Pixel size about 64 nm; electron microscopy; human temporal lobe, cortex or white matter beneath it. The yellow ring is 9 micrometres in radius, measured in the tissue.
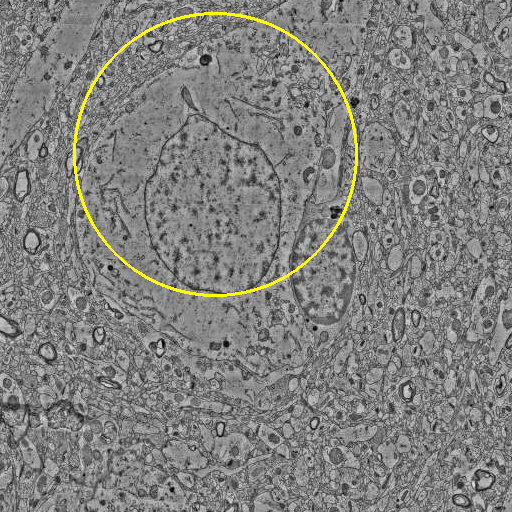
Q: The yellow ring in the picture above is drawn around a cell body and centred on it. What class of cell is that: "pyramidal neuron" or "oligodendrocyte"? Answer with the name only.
pyramidal neuron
